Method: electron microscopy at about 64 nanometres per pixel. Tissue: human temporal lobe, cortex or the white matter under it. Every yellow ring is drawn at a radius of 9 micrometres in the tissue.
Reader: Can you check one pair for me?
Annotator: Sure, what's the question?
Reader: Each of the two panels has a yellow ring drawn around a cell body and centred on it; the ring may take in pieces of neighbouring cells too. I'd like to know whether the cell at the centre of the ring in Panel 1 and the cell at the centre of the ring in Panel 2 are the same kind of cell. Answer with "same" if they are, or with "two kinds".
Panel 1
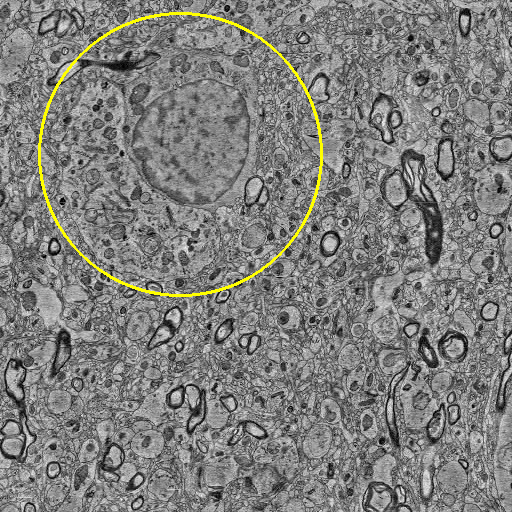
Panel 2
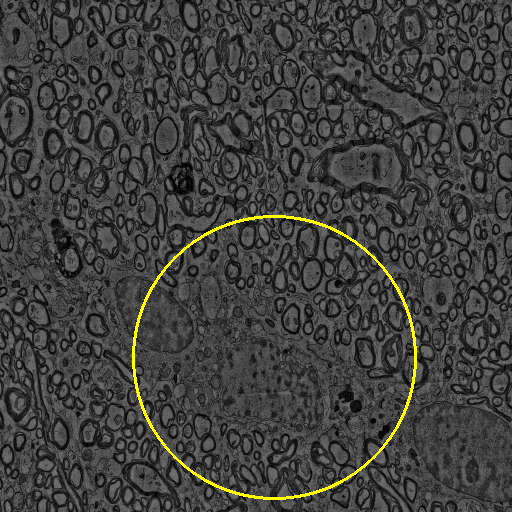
two kinds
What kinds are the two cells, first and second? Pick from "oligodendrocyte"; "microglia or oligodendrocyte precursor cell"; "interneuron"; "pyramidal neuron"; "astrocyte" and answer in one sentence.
The second picture holds an astrocyte in its ring, and the first holds an oligodendrocyte.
